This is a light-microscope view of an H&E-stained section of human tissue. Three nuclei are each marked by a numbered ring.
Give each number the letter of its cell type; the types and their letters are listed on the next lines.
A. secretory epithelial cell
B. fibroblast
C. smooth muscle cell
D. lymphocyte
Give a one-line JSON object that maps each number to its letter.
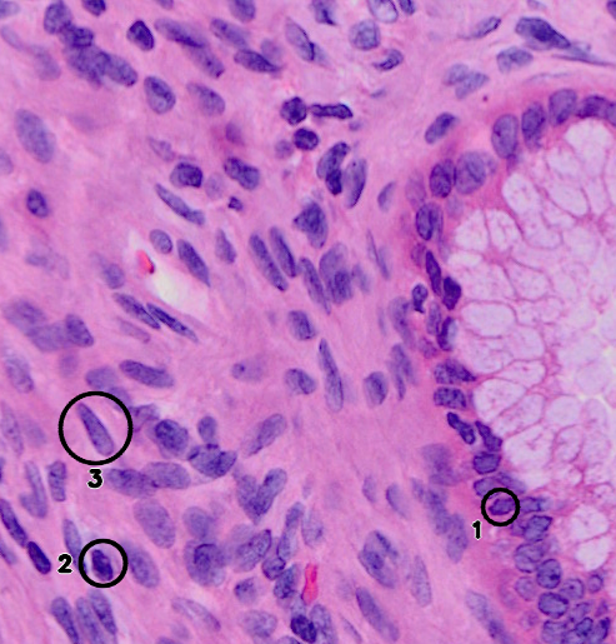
{"1": "A", "2": "D", "3": "B"}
